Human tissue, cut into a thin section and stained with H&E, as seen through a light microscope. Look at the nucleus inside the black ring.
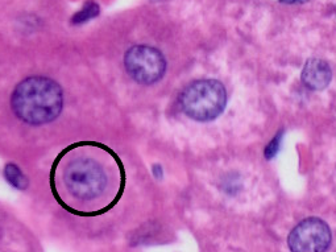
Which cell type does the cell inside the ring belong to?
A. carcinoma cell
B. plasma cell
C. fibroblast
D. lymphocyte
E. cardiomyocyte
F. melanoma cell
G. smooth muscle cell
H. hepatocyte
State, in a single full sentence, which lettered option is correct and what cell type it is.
Since the cell inside the ring is a hepatocyte, option H is correct.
